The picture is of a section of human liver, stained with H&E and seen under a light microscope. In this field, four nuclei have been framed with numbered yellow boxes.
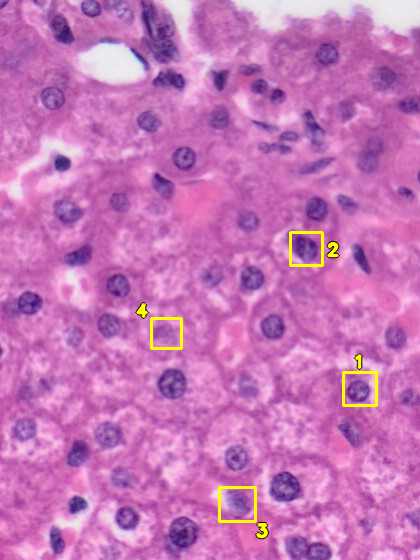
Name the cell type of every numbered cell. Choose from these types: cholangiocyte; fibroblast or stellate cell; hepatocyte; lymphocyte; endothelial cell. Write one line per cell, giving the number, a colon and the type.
1: hepatocyte
2: hepatocyte
3: endothelial cell
4: hepatocyte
